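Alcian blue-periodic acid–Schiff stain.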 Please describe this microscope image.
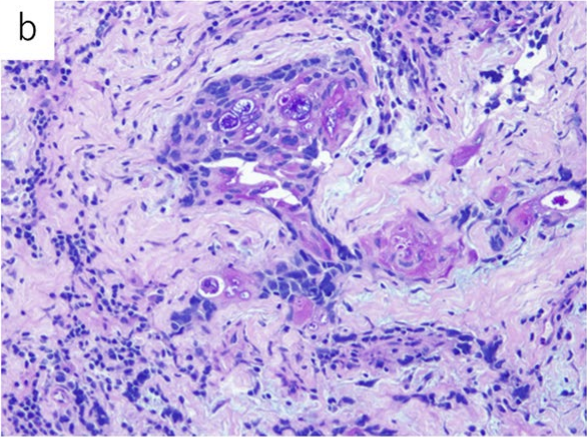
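Here a tumor nest sits in pale pink-lilac fibrous stroma, with many small dark blue nuclei of stromal and inflammatory cells around it. Nearby there are larger pink, more glassy areas of cells with abundant cytoplasm. To the right a separate small gland-like space also holds a magenta droplet. The tumor cells themselves have dark nuclei and are arranged around these secretion-filled spaces.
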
